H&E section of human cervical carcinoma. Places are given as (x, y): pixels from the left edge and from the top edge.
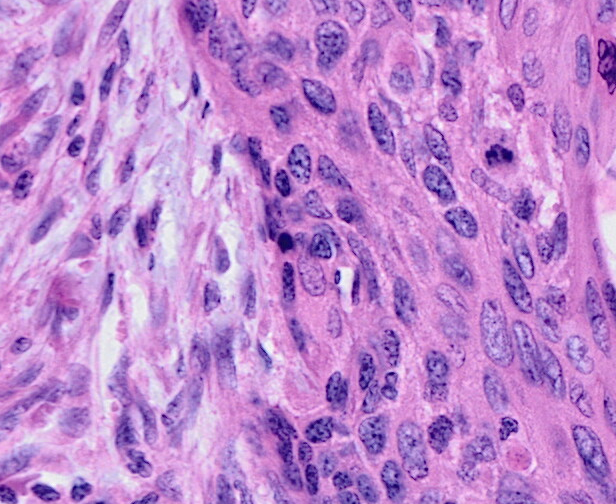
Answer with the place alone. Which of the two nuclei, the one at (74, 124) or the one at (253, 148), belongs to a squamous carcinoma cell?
(253, 148)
